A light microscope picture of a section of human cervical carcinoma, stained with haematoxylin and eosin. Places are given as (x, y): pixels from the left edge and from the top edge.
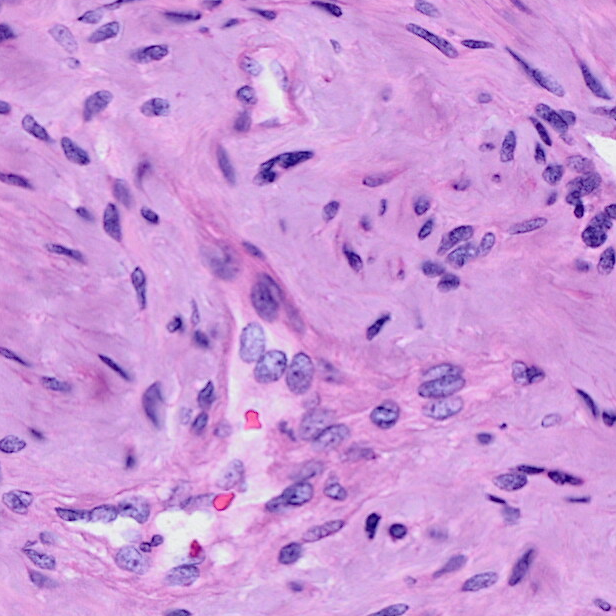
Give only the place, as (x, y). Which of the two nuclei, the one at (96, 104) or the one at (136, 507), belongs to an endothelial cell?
(136, 507)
